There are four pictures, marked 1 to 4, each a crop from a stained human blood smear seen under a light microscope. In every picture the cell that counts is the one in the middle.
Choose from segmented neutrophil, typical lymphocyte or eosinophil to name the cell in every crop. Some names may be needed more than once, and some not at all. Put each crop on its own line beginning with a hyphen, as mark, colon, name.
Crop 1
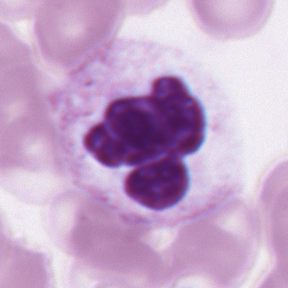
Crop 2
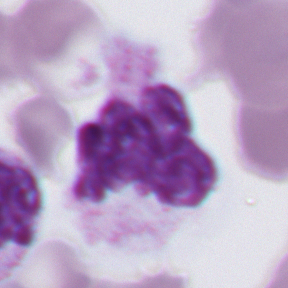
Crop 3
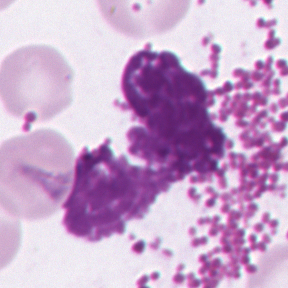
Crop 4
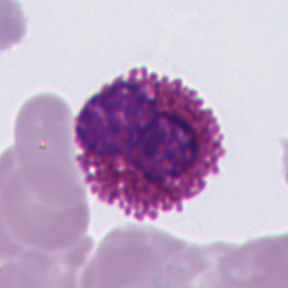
- 1: segmented neutrophil
- 2: segmented neutrophil
- 3: eosinophil
- 4: eosinophil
